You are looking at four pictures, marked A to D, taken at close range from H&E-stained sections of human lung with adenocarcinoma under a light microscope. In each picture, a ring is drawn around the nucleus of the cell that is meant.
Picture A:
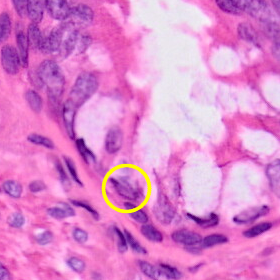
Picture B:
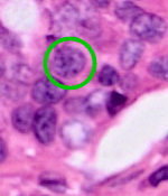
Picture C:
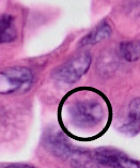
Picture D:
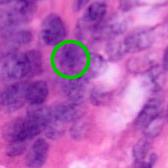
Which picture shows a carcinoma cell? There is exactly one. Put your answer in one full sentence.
Picture C is the one that shows the carcinoma cell.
